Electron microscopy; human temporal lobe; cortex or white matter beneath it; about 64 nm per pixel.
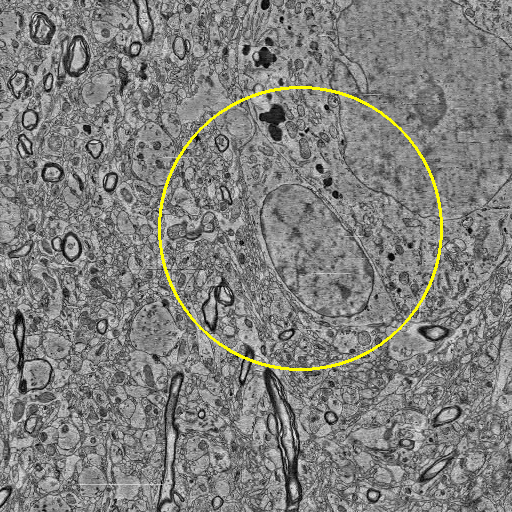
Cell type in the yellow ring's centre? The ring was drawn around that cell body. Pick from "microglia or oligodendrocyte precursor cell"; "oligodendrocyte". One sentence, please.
The ringed cell body is that of a microglial cell or oligodendrocyte precursor cell.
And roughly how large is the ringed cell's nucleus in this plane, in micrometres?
About 10 by 5 micrometers; the nucleus is clearly longer than it is wide in this plane.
